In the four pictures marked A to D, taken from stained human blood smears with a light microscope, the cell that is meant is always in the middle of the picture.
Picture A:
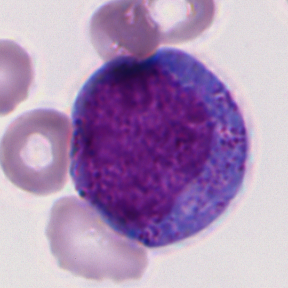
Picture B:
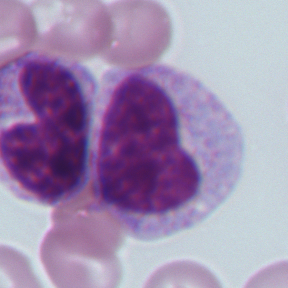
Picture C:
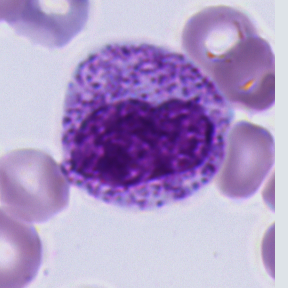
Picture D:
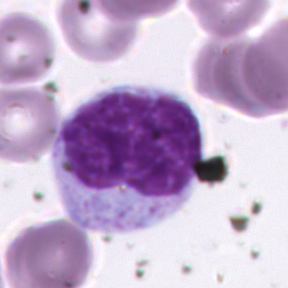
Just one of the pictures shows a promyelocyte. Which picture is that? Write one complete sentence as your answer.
Picture A shows the promyelocyte.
